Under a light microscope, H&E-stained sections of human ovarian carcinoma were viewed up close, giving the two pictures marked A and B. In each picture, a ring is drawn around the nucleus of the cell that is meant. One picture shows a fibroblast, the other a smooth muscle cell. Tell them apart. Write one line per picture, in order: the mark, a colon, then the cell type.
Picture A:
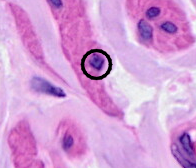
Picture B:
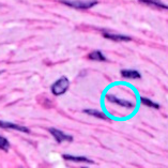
A: smooth muscle cell
B: fibroblast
